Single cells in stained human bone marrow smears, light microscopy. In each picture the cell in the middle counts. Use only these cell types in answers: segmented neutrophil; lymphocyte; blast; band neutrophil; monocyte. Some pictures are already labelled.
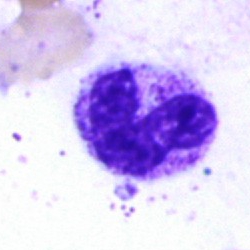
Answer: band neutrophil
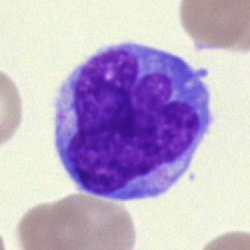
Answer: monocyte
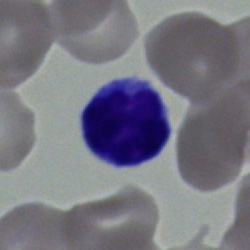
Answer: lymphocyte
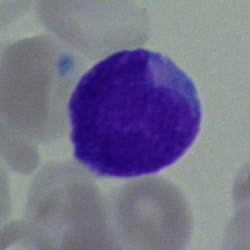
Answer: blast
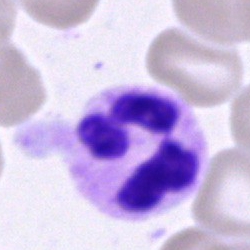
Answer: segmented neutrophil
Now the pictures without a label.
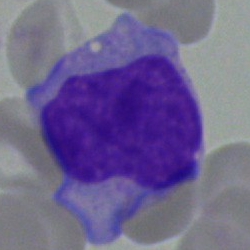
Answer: blast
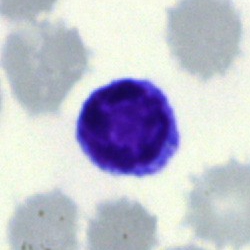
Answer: lymphocyte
